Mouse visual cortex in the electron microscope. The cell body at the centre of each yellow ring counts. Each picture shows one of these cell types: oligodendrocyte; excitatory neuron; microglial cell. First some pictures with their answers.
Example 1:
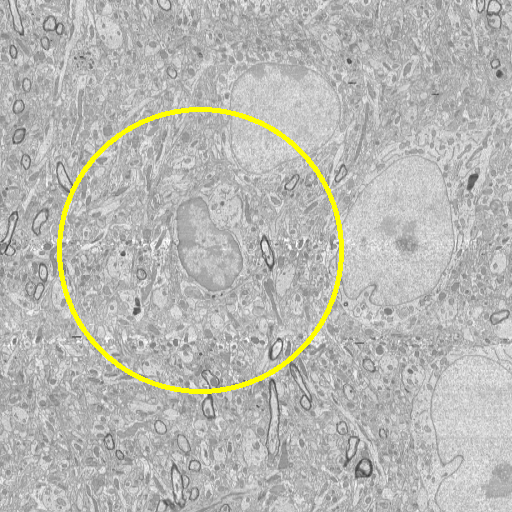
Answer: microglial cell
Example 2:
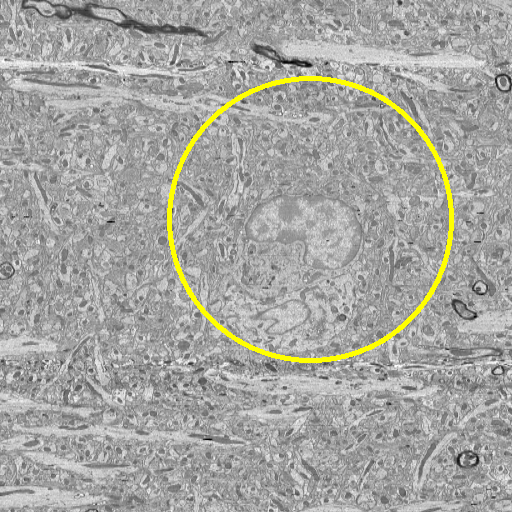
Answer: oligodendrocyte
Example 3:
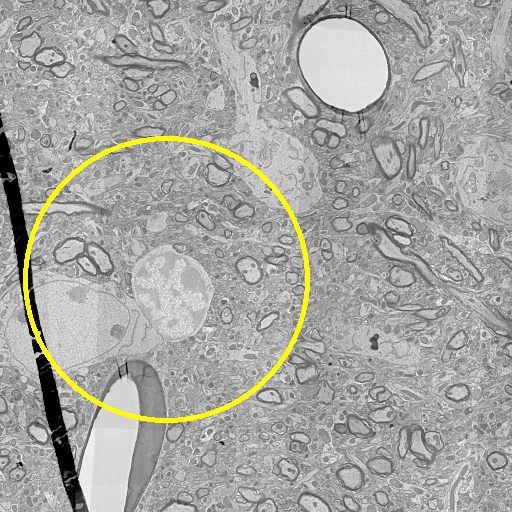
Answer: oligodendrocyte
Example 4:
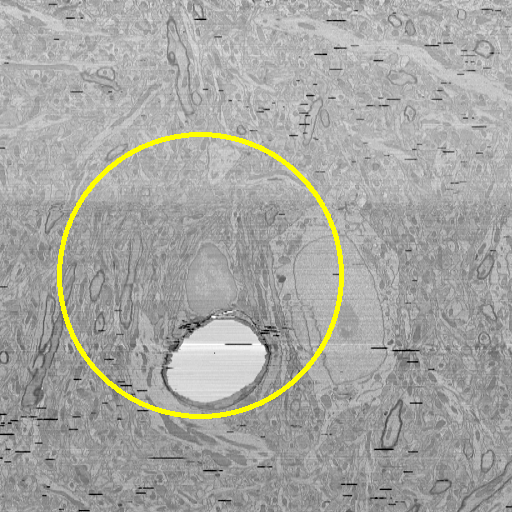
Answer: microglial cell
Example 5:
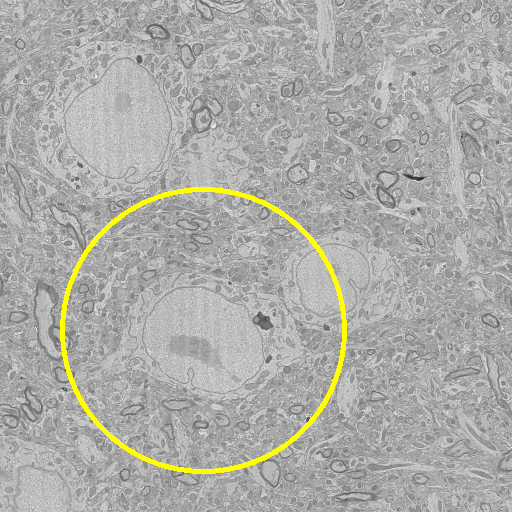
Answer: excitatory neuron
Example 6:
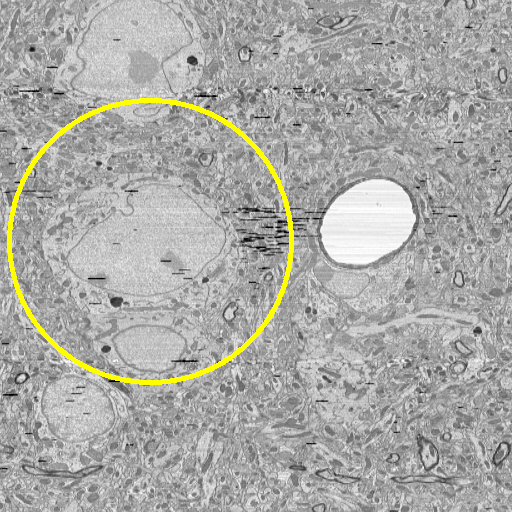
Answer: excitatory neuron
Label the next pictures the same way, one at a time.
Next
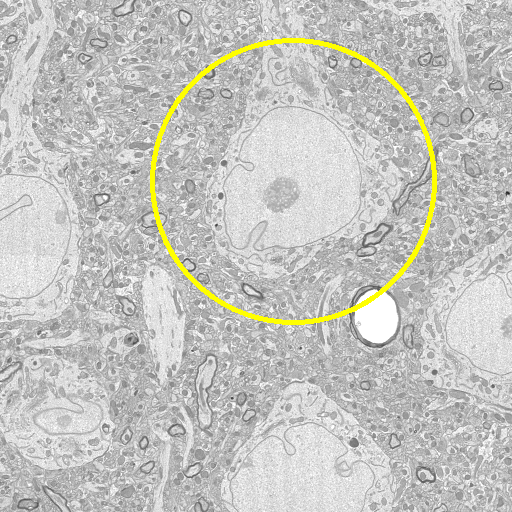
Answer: excitatory neuron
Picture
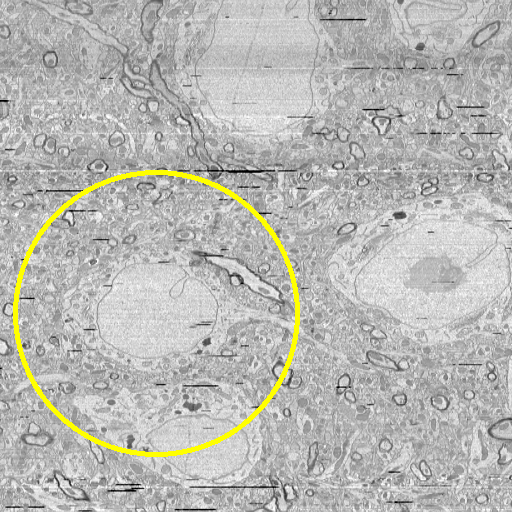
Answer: excitatory neuron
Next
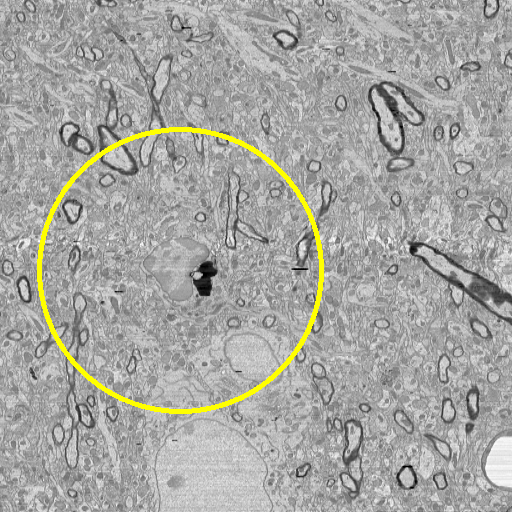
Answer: microglial cell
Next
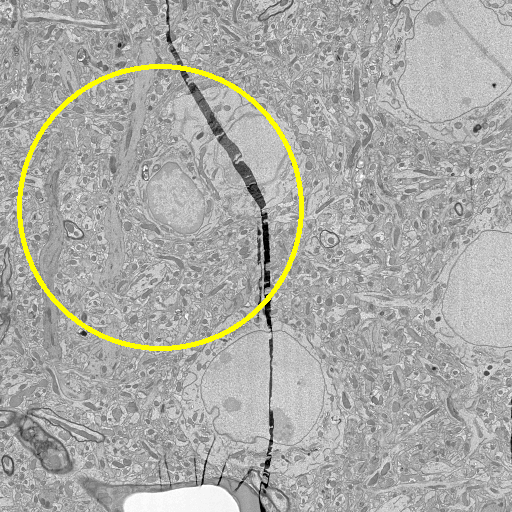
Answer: microglial cell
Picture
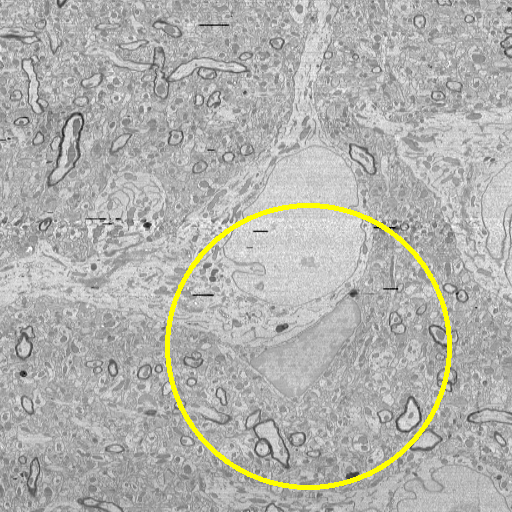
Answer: microglial cell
